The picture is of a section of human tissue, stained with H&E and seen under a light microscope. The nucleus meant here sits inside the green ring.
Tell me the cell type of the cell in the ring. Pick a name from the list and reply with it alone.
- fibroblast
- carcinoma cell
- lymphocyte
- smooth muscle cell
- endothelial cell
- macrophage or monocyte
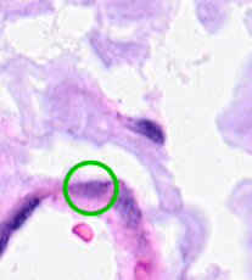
endothelial cell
